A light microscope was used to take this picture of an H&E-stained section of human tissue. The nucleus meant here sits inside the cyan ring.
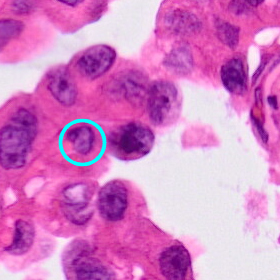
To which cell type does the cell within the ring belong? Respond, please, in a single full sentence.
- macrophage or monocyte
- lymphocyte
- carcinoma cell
So far as cell type goes, the cell within the ring is a carcinoma cell.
